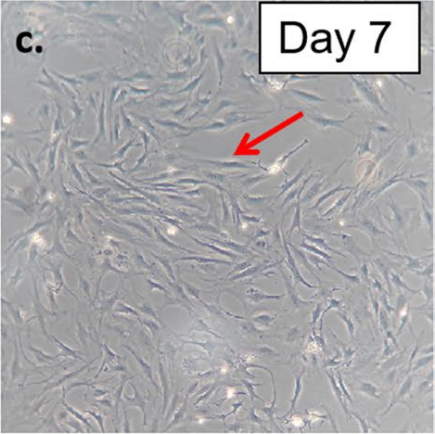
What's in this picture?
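Nearly the whole field is covered by elongated, spindle-shaped cells with dark outlines and long, tapering ends. Many lie side by side in roughly parallel streams, and in places the streams curve into loose swirling patterns. Scattered among them are a few small, round, bright refractile cells that stand out from the flat, spread cells.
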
